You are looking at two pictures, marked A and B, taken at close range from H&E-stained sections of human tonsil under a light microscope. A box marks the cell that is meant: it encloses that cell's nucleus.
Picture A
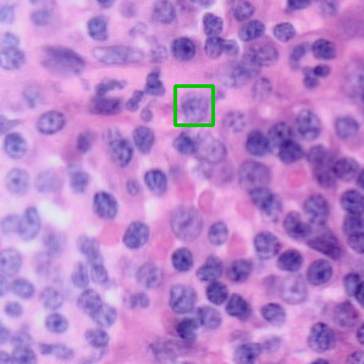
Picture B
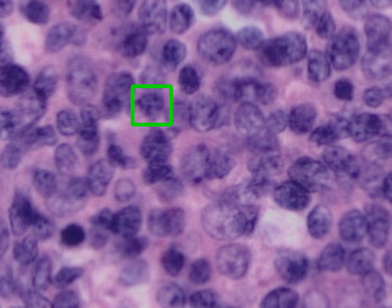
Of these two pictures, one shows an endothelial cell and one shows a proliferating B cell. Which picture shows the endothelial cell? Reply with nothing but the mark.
A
